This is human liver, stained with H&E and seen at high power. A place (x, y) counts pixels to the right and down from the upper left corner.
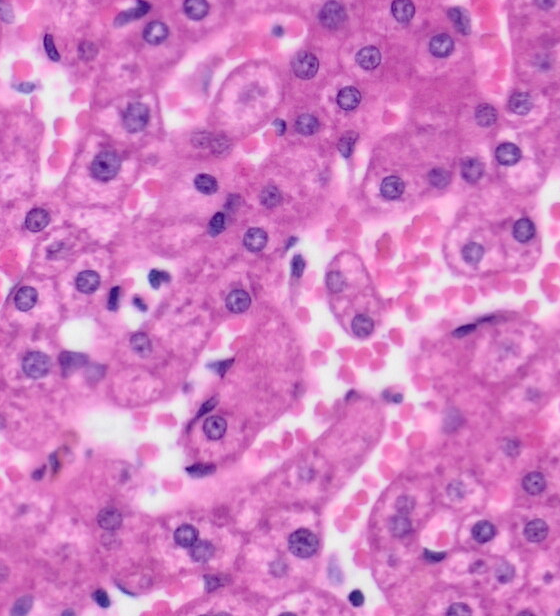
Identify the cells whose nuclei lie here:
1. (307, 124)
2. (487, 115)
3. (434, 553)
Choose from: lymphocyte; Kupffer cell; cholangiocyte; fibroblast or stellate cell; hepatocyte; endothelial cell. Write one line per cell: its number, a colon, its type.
1: hepatocyte
2: hepatocyte
3: endothelial cell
